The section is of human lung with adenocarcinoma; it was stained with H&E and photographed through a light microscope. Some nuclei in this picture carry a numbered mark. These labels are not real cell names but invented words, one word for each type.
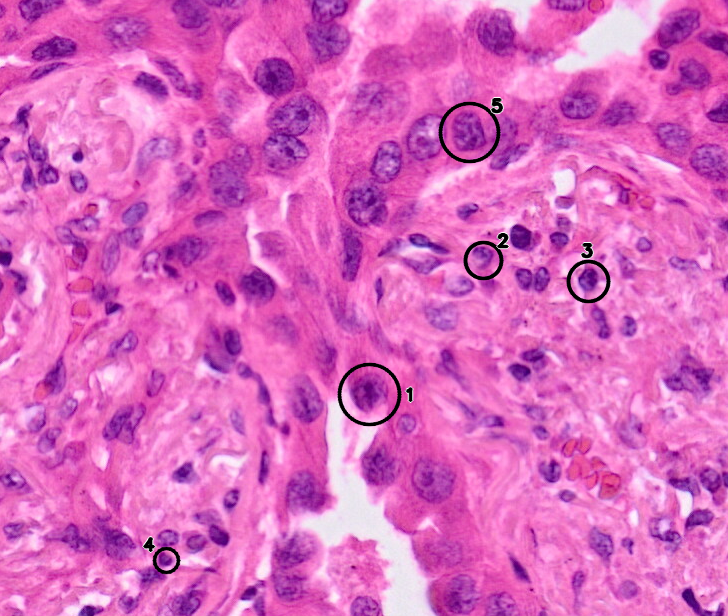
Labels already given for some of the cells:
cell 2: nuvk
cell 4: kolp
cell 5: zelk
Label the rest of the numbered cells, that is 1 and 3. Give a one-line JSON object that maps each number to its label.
{"1": "zelk", "3": "nuvk"}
